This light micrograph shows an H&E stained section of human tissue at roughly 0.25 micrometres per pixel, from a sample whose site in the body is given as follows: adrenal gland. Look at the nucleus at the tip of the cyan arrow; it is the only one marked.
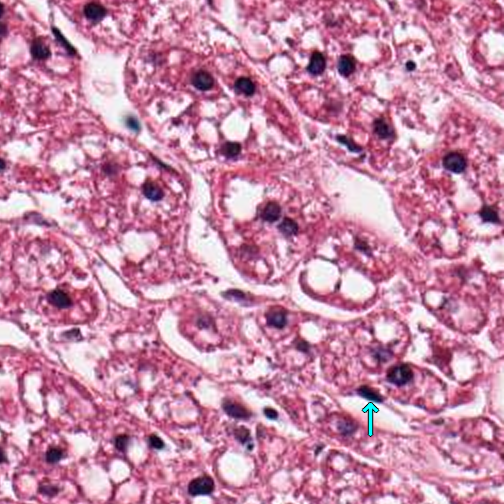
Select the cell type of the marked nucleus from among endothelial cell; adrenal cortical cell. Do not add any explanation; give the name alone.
endothelial cell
